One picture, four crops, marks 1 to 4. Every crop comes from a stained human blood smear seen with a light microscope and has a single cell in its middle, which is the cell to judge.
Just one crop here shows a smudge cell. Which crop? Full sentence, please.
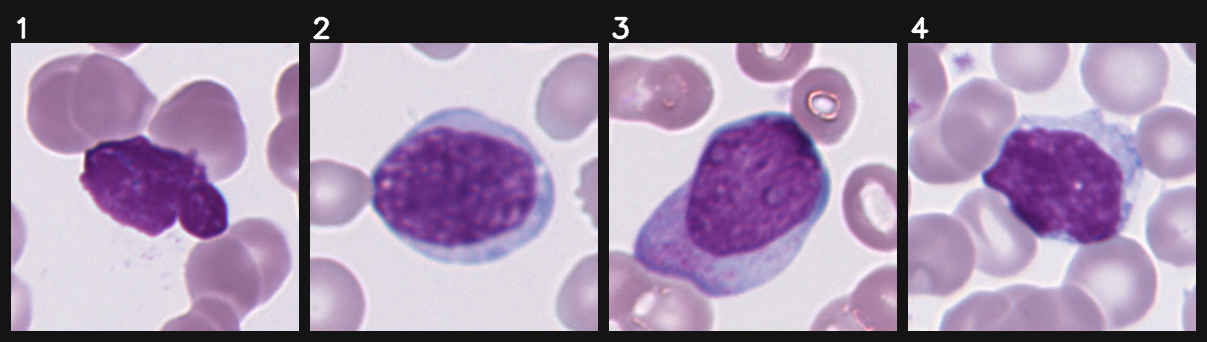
Crop 1 is the one that shows a smudge cell.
